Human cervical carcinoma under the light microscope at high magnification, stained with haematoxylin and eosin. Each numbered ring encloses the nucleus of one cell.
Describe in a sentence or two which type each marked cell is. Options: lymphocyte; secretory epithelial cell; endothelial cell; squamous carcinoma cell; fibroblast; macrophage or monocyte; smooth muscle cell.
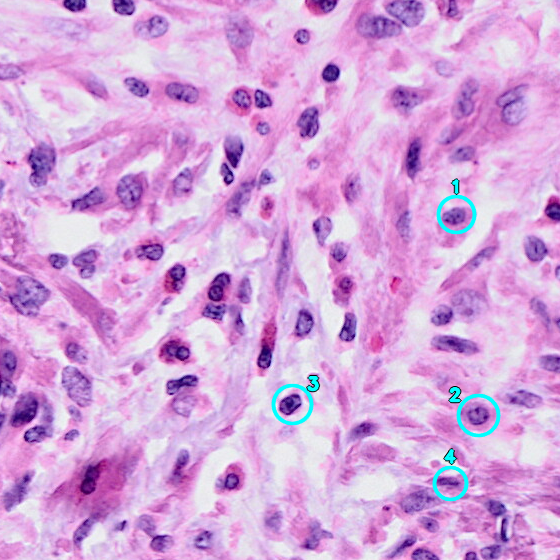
Cells 1 and 2 are macrophages or monocytes. Cell 3 is a lymphocyte. Cell 4 is a fibroblast.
